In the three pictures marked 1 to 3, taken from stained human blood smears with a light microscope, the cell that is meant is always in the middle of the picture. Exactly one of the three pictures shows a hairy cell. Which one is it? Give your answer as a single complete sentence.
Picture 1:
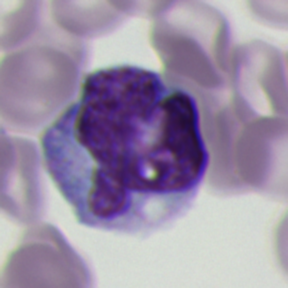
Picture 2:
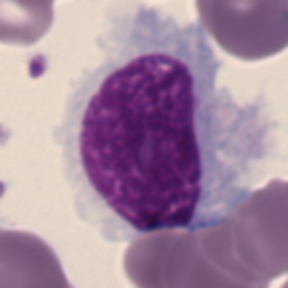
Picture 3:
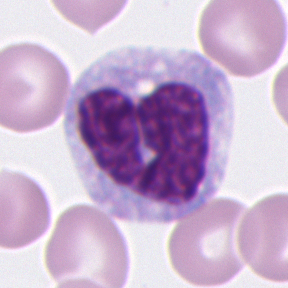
It is picture 2 that shows the hairy cell.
